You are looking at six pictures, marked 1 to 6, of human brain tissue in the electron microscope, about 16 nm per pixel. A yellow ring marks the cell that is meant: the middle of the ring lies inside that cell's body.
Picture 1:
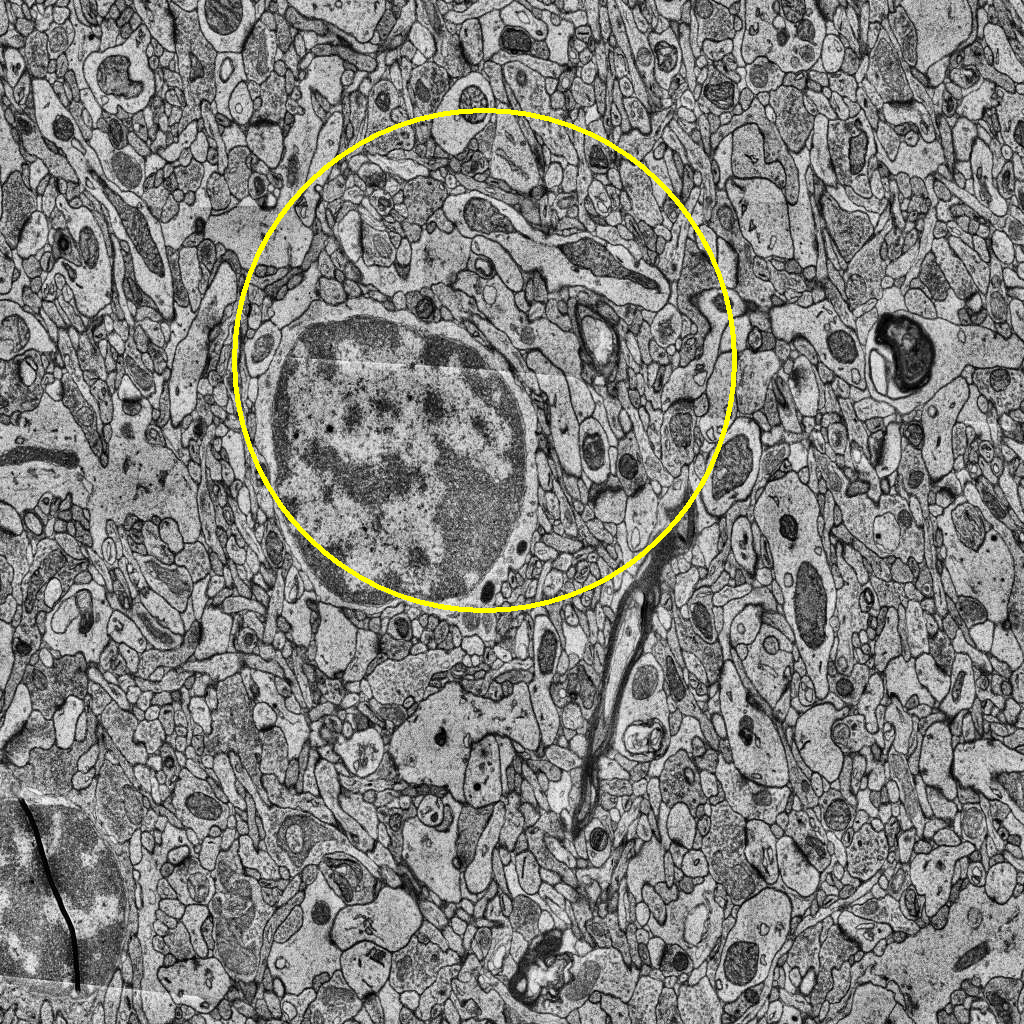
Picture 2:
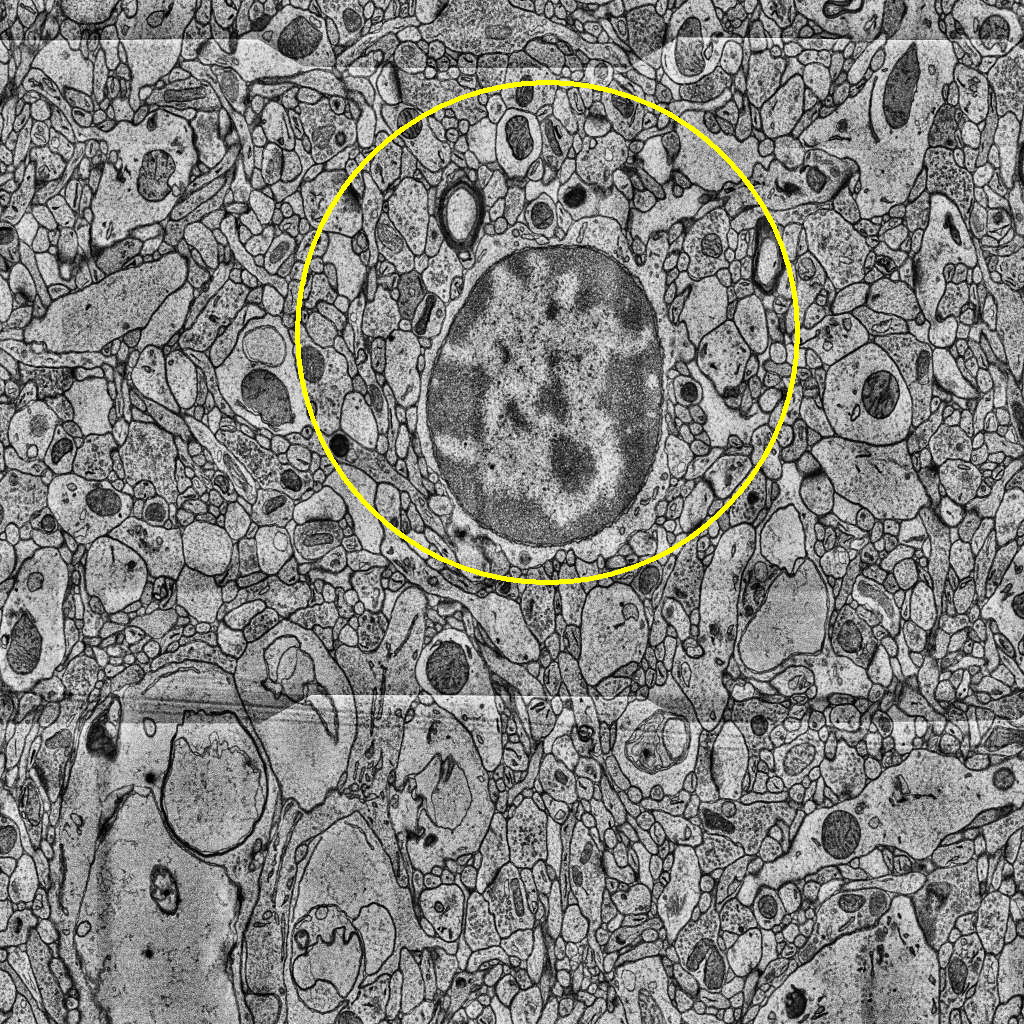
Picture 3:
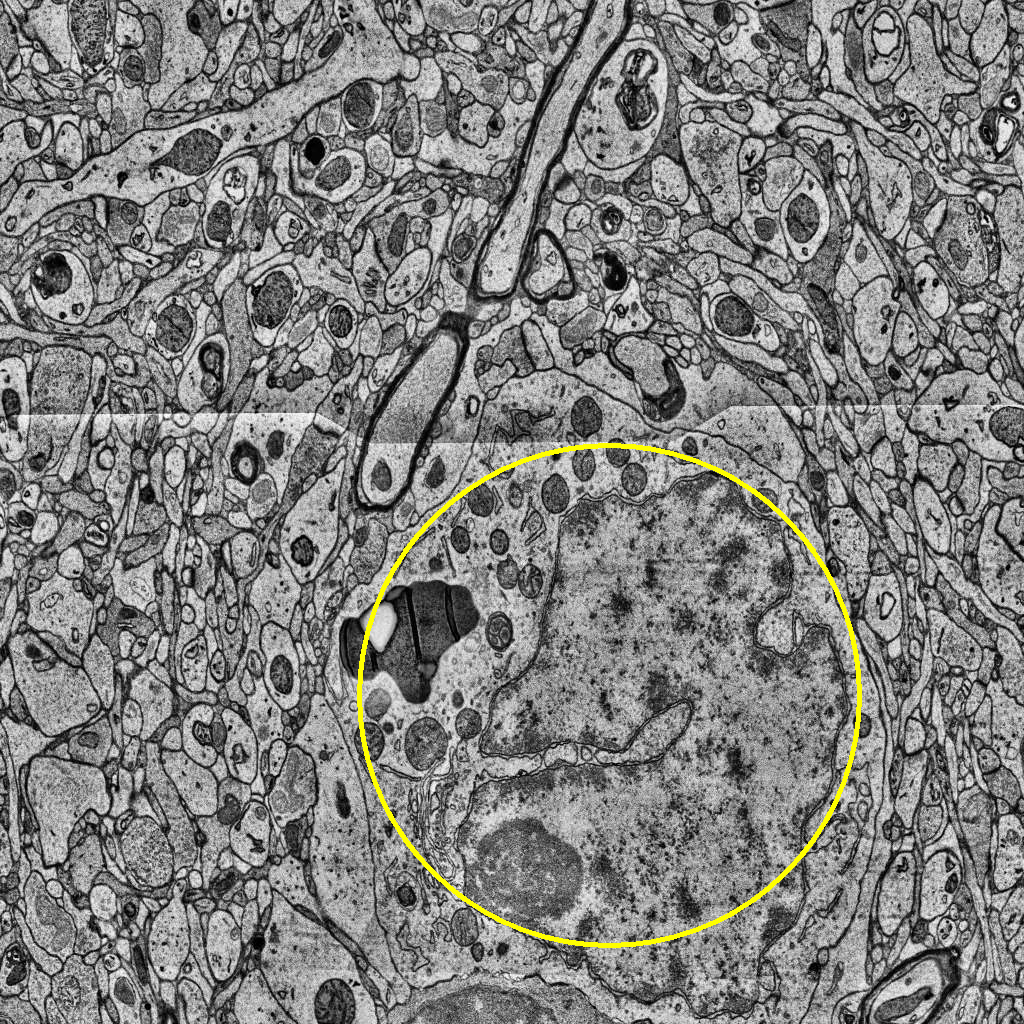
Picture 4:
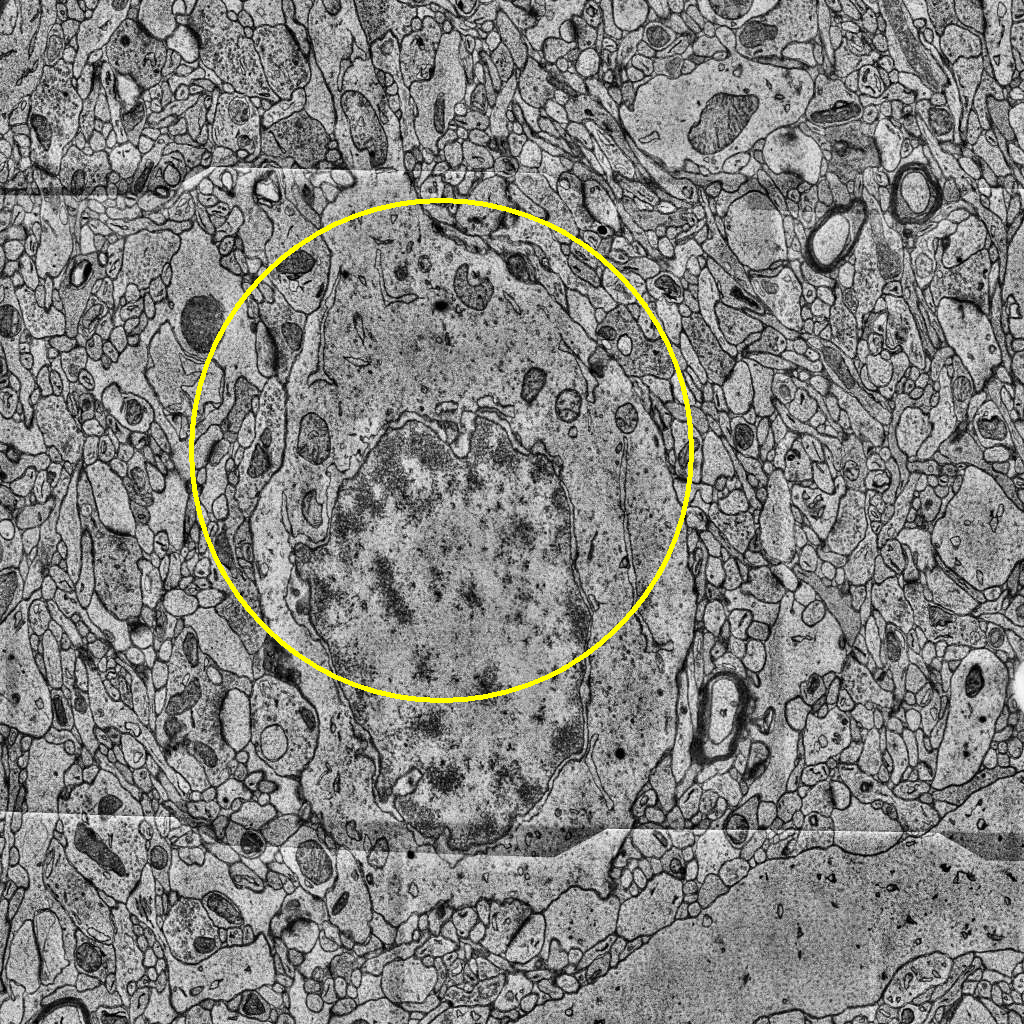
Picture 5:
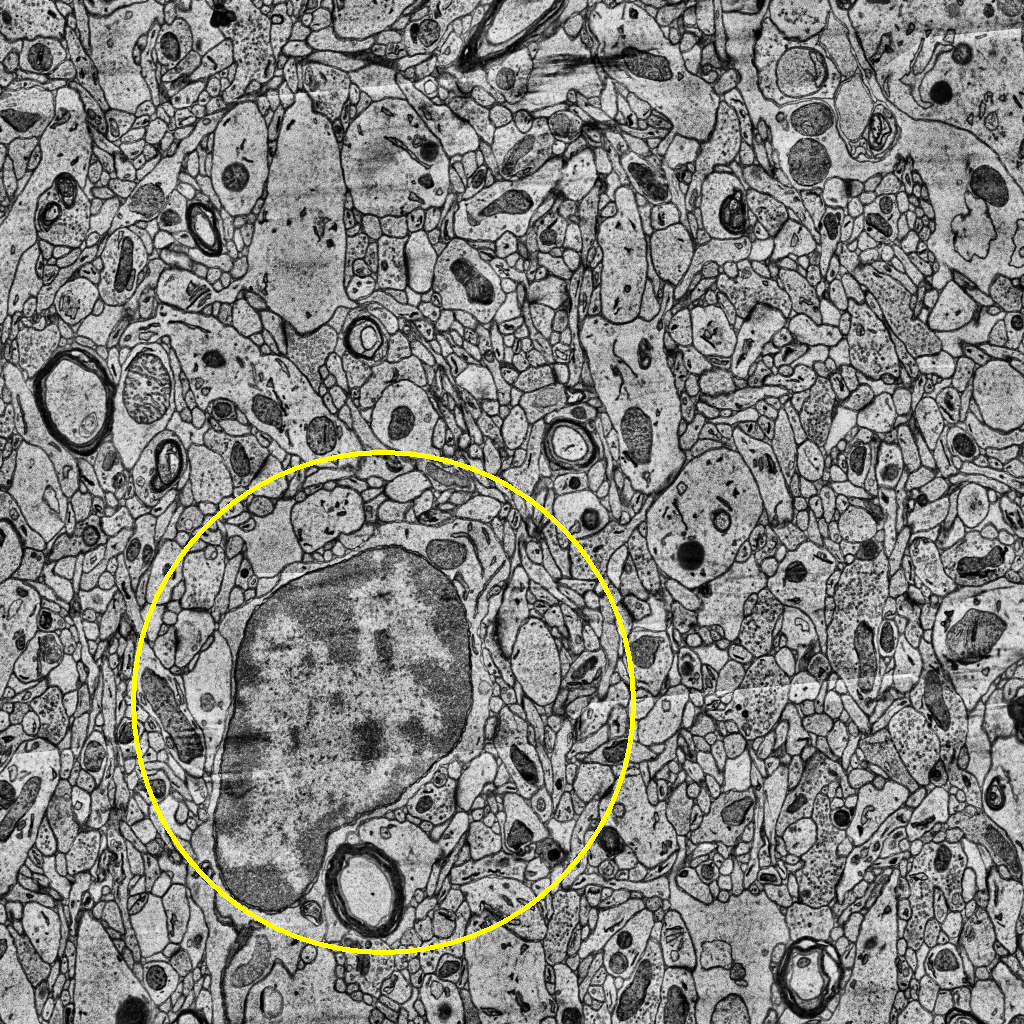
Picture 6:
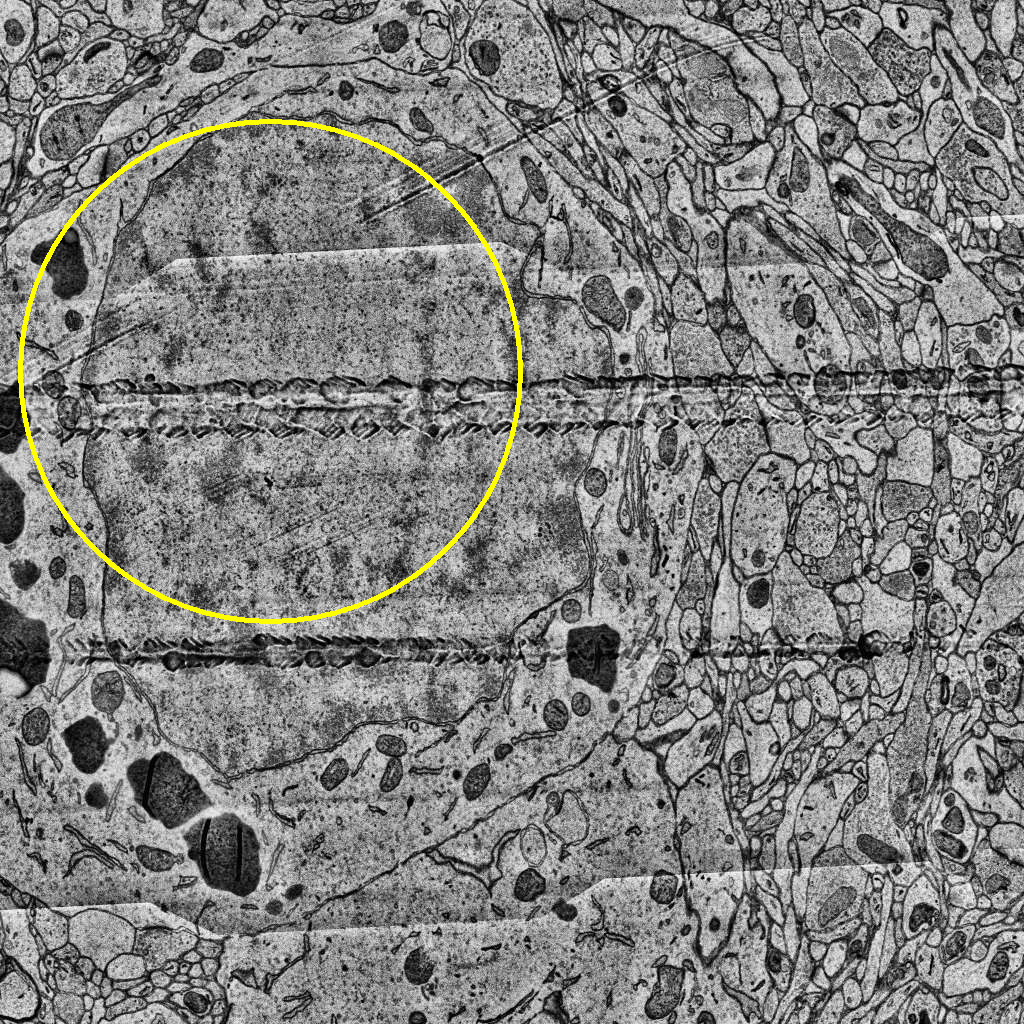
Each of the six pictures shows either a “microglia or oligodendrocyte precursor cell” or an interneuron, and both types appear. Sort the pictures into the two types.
Pictures 1, 2 and 5 show “microglia or oligodendrocyte precursor cells”; pictures 3, 4 and 6 show interneurons.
